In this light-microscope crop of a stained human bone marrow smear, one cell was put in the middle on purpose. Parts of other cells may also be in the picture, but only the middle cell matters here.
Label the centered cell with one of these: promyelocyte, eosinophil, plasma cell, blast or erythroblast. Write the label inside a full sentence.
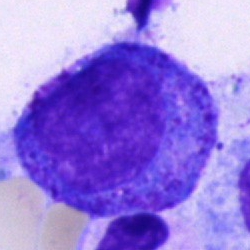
What the crop centres on is a promyelocyte.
